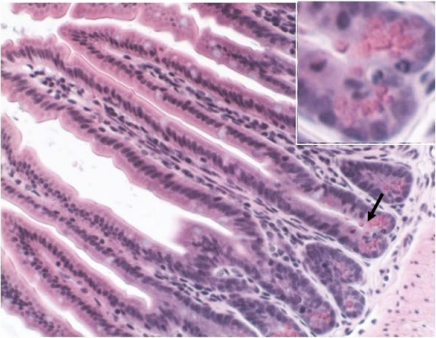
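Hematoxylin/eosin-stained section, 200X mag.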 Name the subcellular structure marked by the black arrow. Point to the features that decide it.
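Paneth cell granules. At the crypt base the arrow points to cells packed with bright pink-red granules.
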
